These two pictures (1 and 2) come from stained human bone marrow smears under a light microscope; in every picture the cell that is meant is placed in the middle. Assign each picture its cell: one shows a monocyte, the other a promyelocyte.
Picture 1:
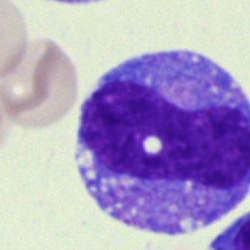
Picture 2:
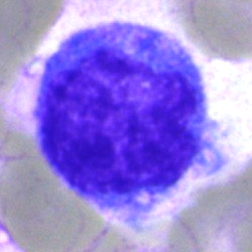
1: monocyte
2: promyelocyte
